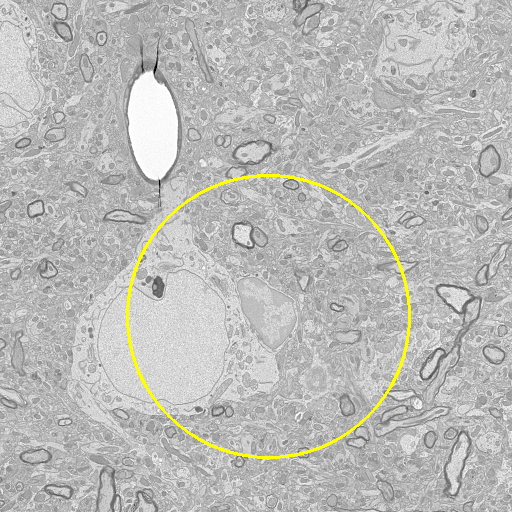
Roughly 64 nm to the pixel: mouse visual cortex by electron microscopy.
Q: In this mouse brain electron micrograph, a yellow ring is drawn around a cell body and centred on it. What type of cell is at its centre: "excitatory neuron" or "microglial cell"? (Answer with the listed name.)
microglial cell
